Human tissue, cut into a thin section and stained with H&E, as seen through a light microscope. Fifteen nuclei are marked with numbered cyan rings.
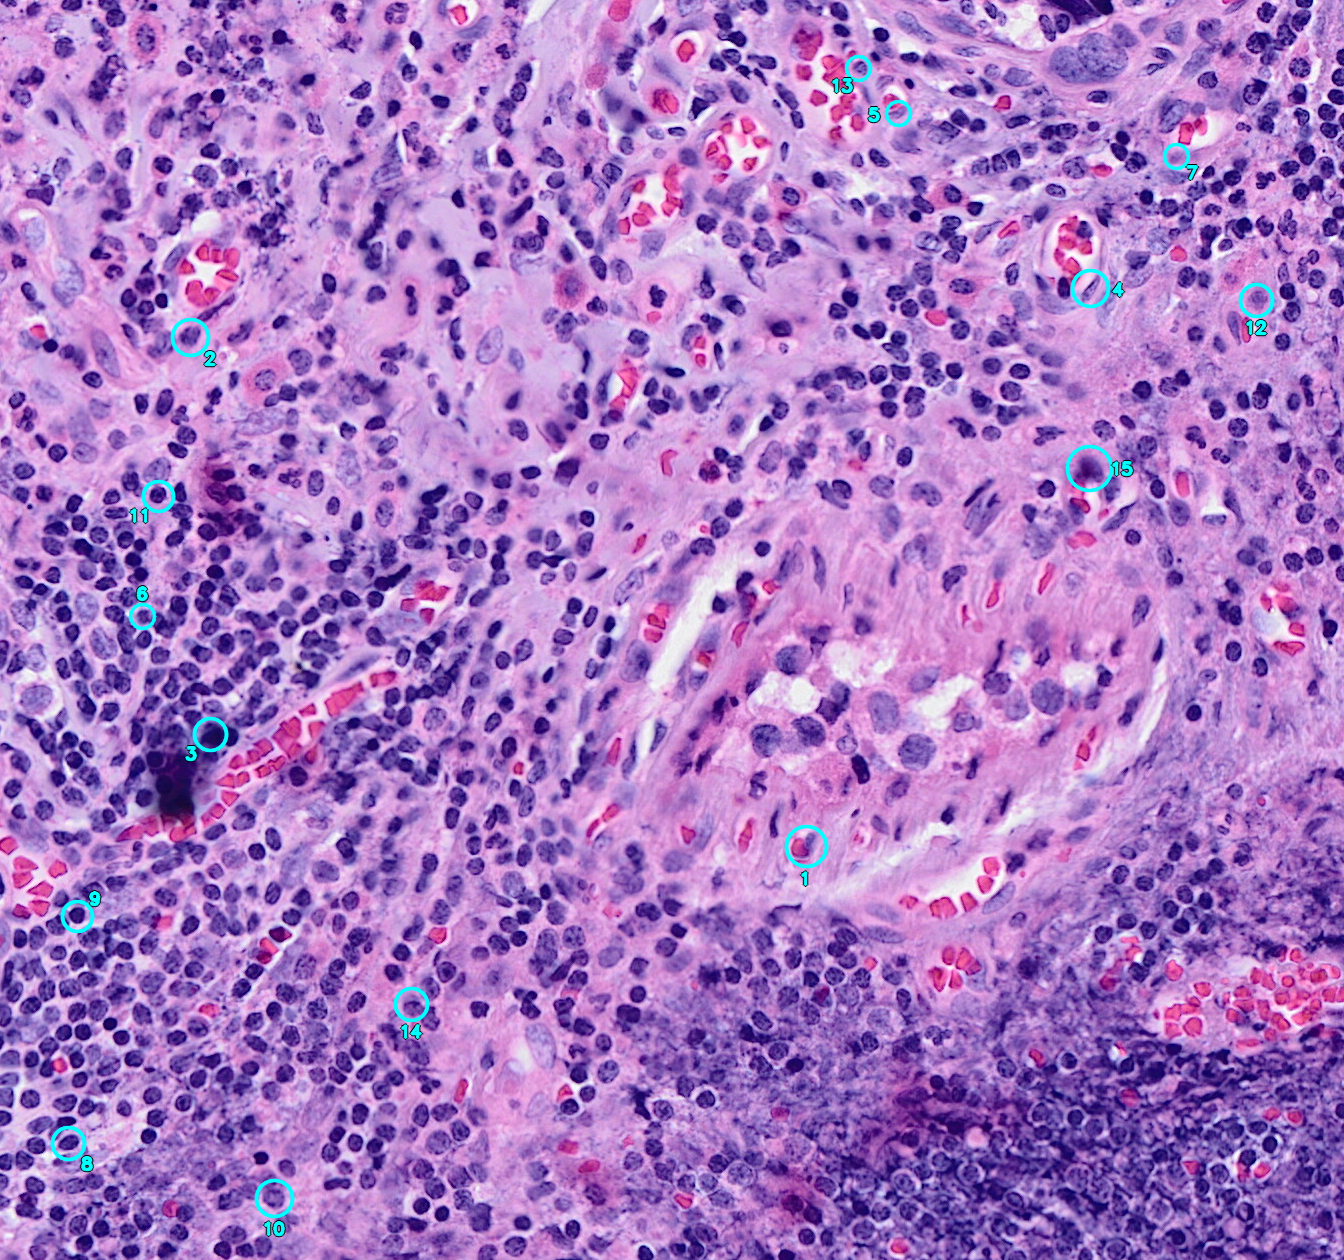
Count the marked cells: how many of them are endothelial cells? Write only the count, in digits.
7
